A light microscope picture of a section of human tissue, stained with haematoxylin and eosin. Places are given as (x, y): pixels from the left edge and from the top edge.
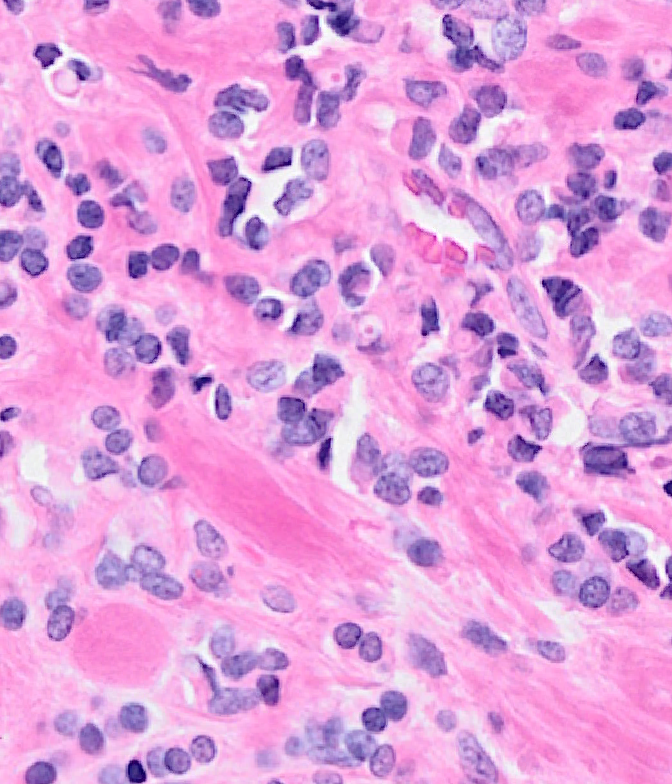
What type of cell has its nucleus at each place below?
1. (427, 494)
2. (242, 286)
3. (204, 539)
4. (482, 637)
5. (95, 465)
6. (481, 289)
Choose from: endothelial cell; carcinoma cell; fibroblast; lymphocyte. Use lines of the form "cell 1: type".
cell 1: carcinoma cell
cell 2: carcinoma cell
cell 3: carcinoma cell
cell 4: fibroblast
cell 5: carcinoma cell
cell 6: endothelial cell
